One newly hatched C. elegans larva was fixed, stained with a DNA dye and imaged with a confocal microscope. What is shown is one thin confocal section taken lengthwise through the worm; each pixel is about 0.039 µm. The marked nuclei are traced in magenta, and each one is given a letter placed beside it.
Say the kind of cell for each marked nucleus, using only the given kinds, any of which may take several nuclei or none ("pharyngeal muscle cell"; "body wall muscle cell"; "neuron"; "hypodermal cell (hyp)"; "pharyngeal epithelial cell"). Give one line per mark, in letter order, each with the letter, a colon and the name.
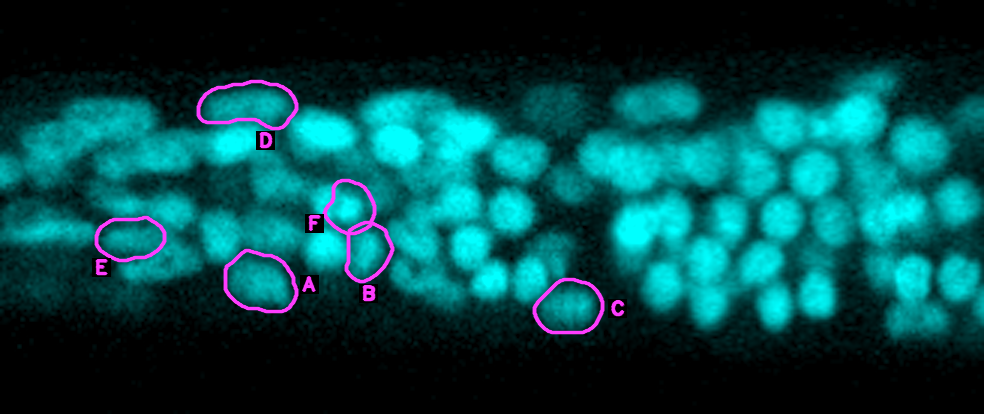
A: body wall muscle cell
B: neuron
C: body wall muscle cell
D: body wall muscle cell
E: pharyngeal epithelial cell
F: pharyngeal muscle cell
